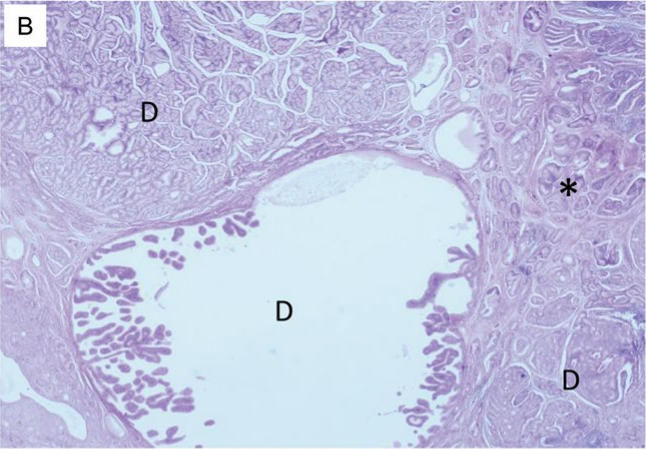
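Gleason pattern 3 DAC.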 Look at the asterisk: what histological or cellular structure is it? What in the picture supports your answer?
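Many small rounded and elongated tubules packed in stroma surround the asterisk. A large dilated duct with papillary fronds lies beside them. That points to this answer: tubular structures.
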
